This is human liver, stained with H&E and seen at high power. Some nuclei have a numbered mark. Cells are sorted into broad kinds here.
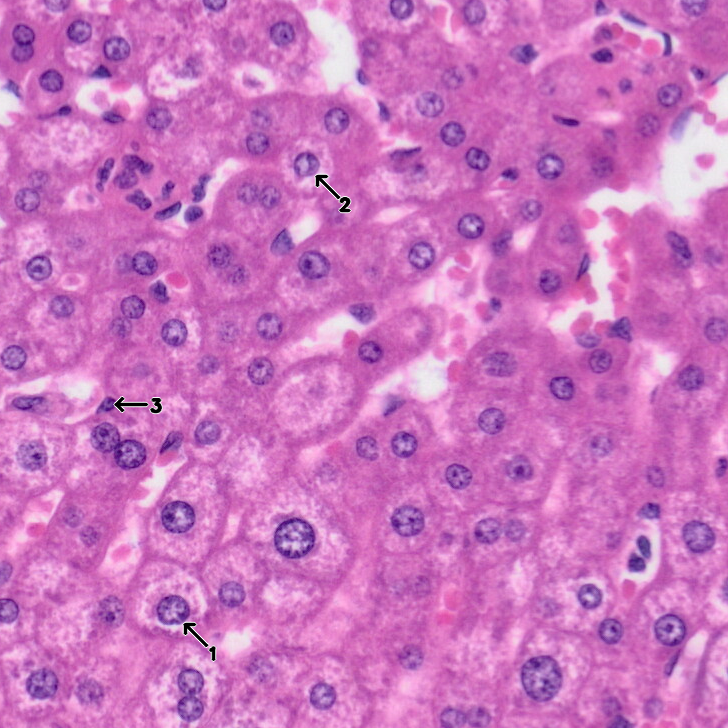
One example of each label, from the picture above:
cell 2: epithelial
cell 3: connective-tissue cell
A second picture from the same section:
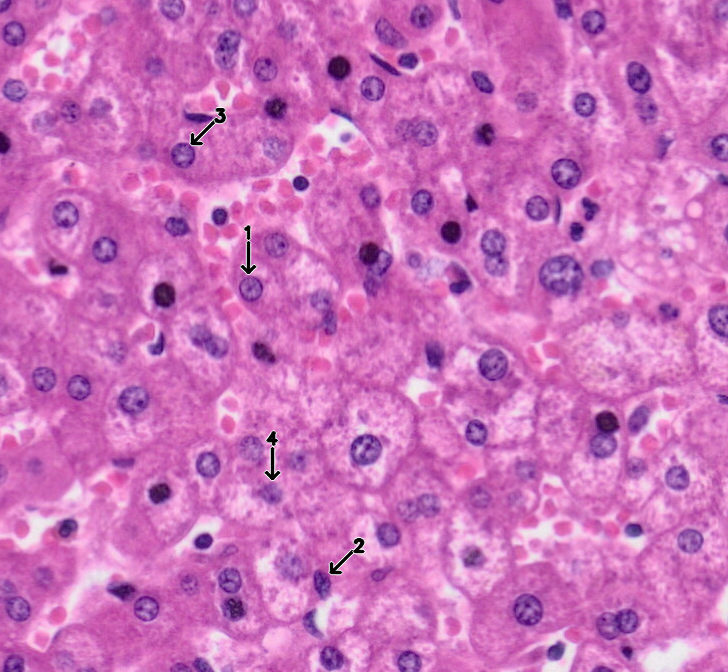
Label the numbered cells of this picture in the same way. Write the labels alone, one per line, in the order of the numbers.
epithelial
connective-tissue cell
epithelial
epithelial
